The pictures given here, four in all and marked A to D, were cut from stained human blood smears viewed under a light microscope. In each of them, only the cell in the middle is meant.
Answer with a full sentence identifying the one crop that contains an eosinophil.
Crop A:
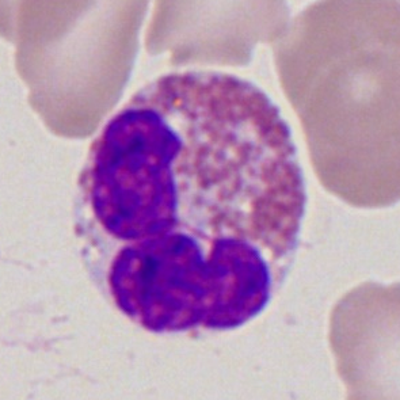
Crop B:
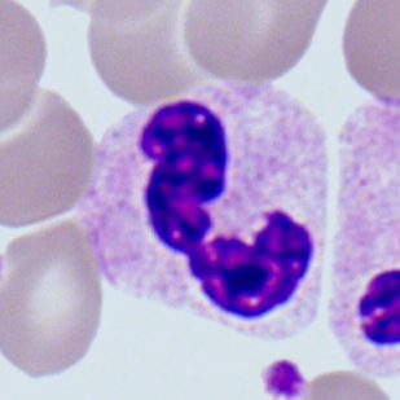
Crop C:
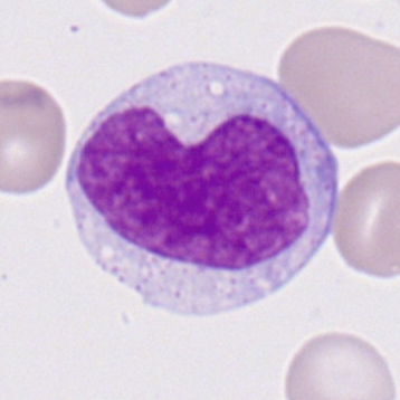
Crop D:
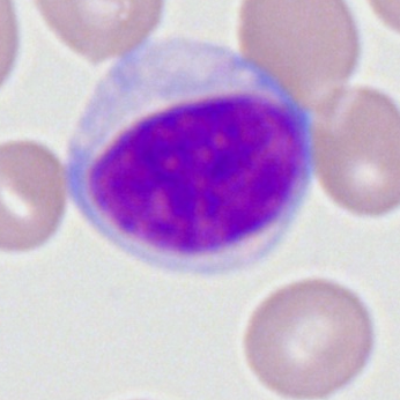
The one showing an eosinophil is crop A.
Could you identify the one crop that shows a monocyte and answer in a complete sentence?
The crop marked C is the one that shows a monocyte.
